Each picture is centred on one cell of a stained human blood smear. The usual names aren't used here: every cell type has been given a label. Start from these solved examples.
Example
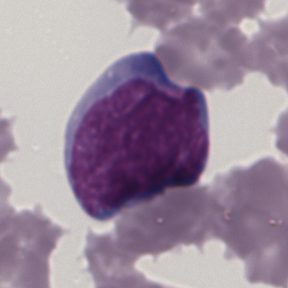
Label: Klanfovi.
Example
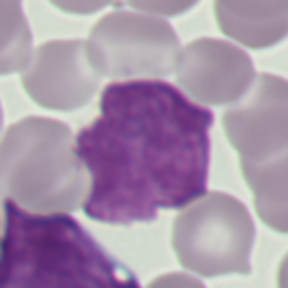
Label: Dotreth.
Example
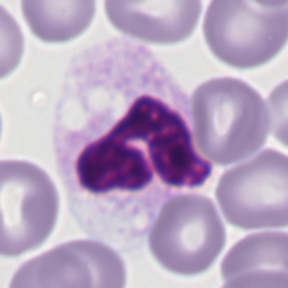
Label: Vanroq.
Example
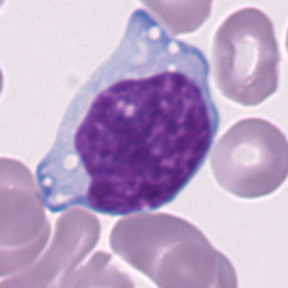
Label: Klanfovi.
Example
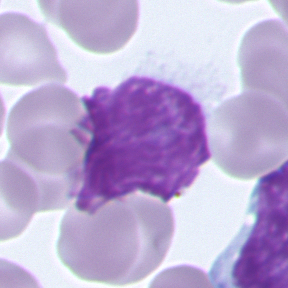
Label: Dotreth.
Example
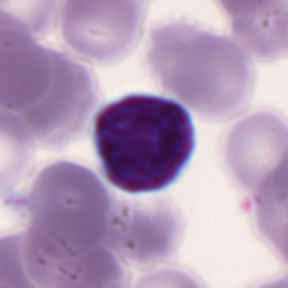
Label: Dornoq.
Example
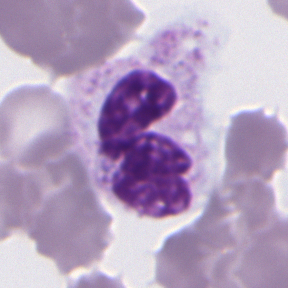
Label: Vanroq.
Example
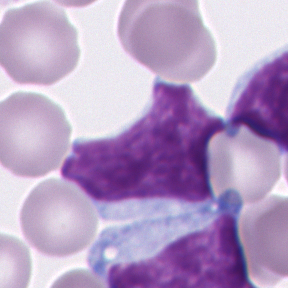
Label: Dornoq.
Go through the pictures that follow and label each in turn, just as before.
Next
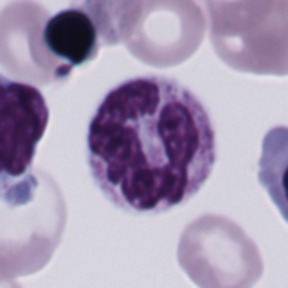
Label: Vanroq.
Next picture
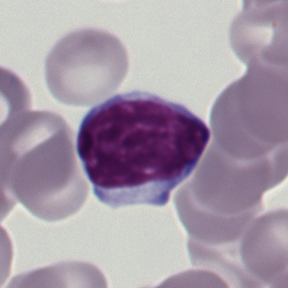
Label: Dornoq.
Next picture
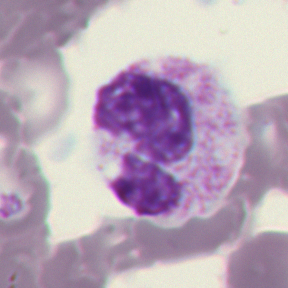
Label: Vanroq.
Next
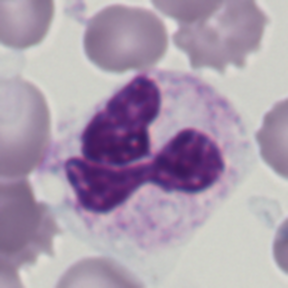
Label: Vanroq.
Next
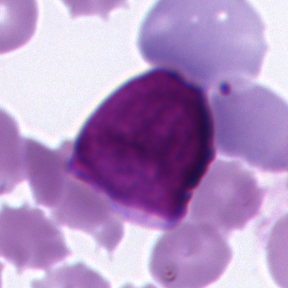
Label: Klanfovi.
